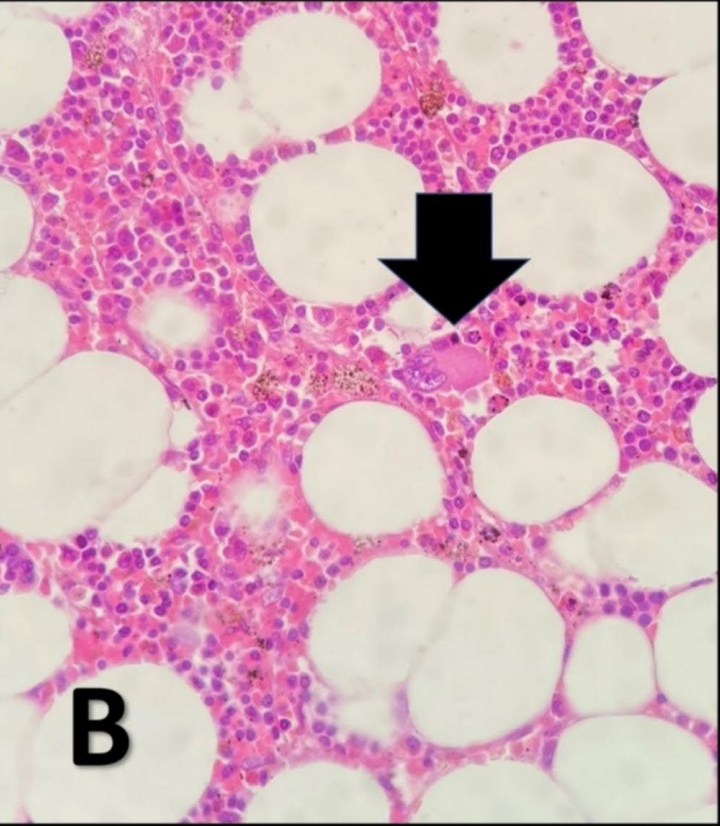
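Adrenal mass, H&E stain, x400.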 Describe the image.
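Large round clear vacuoles of mature fat cells are seen, separated by densely packed cellular marrow-like tissue. This tissue is made of many small round cells with dark purple nuclei, mixed with red blood cells and small clumps of brown pigment. Near the centre lies one very large cell with a lobulated, dark purple nucleus and abundant pink cytoplasm. Its size and lobulated nucleus mark it as a megakaryocyte. Together, the fat and the blood-forming elements show adipose tissue intermixed with hematopoietic cells, including megakaryocytes.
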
